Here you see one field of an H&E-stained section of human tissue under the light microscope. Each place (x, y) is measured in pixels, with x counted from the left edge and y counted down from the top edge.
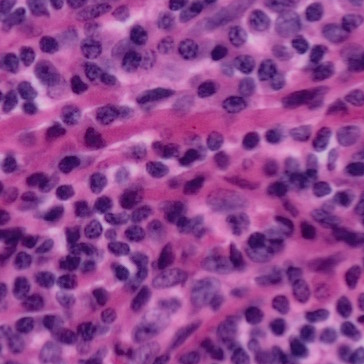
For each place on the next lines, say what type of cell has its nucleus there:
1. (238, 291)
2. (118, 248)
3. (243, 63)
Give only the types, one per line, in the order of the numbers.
endothelial cell
small lymphocyte
plasma cell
